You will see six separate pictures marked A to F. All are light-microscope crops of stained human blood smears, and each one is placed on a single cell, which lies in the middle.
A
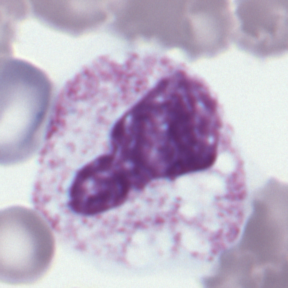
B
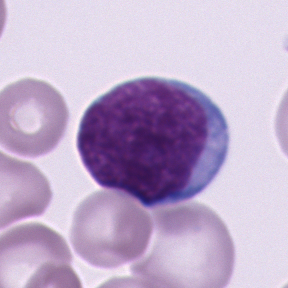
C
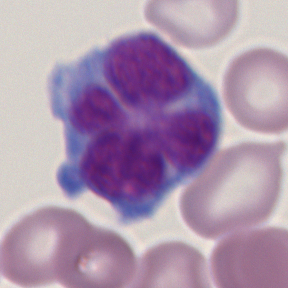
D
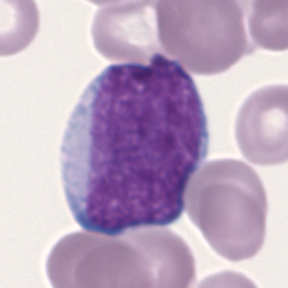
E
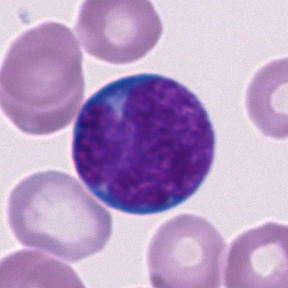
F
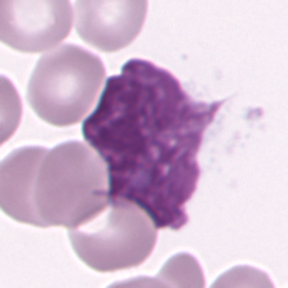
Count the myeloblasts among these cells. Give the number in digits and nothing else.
4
